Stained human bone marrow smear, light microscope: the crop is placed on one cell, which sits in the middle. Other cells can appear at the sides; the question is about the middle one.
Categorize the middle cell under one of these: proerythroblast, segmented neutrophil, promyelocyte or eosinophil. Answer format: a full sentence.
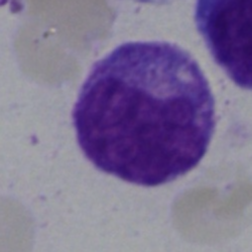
The target cell in the middle of the crop is a promyelocyte.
